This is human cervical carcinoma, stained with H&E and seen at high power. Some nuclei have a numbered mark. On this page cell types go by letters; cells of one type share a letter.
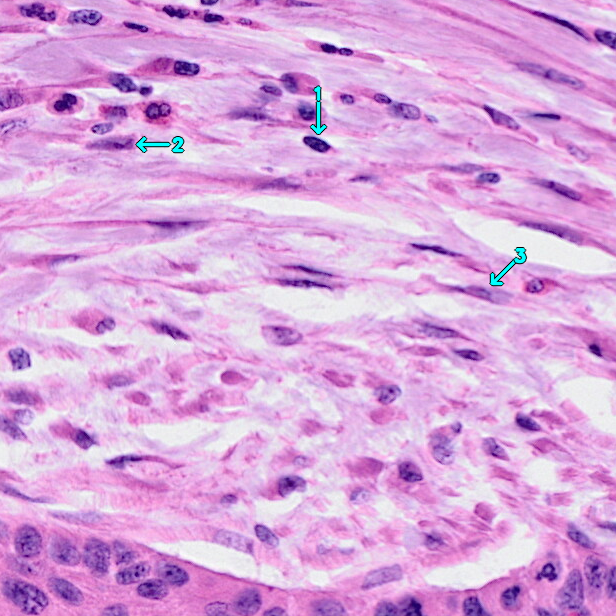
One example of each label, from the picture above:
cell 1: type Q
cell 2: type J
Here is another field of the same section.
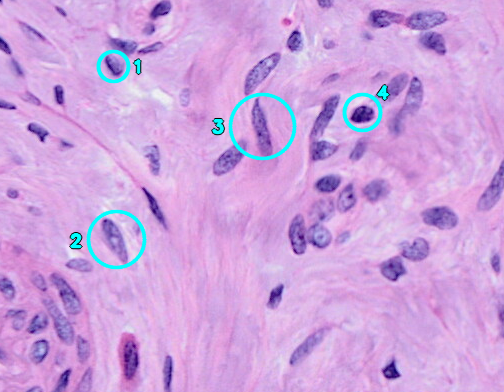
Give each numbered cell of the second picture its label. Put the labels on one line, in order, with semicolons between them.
type J; type J; type J; type Q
